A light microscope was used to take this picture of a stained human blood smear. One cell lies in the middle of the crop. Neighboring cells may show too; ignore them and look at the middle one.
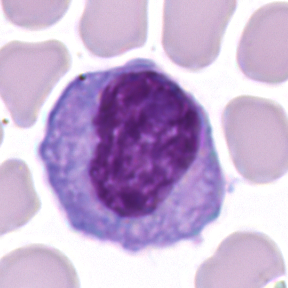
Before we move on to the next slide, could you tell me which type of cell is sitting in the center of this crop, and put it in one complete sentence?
Positioned in the middle of the crop is a plasma cell.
